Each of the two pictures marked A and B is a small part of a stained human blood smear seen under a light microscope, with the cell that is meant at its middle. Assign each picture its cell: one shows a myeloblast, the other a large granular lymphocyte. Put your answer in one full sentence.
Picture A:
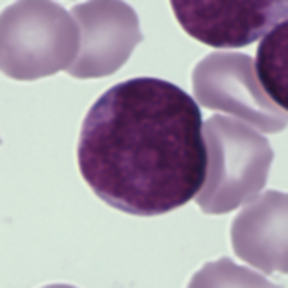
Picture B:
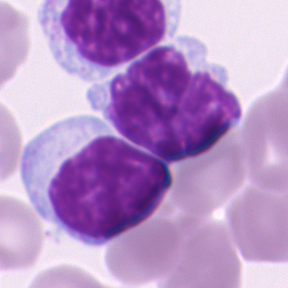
Picture B shows a large granular lymphocyte, while picture A shows a myeloblast.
